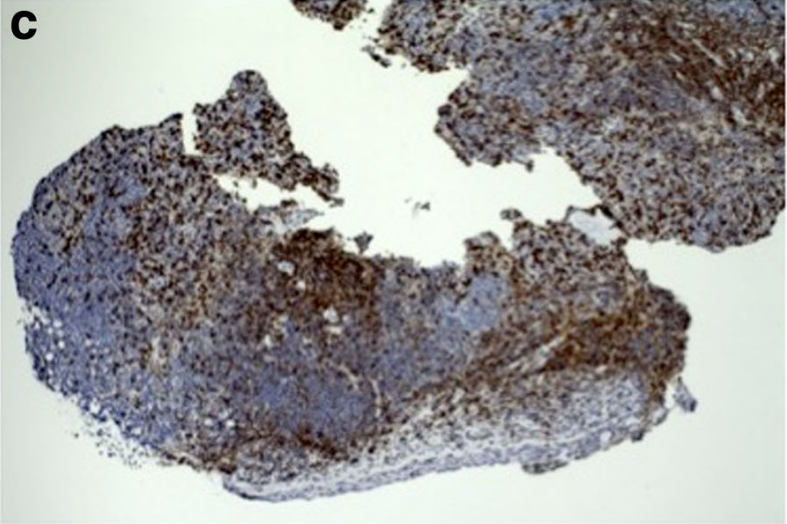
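Brown-stained small cells are numerous and scattered throughout, forming dense bands and clusters, especially in the upper and right parts of the fragment. Between them lie rounded zones where most cells are blue and only a few brown cells are sprinkled, giving a mottled pattern of paler nodular areas separated by brown-rich regions. The lower edge shows a thin band of paler, less cellular tissue.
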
